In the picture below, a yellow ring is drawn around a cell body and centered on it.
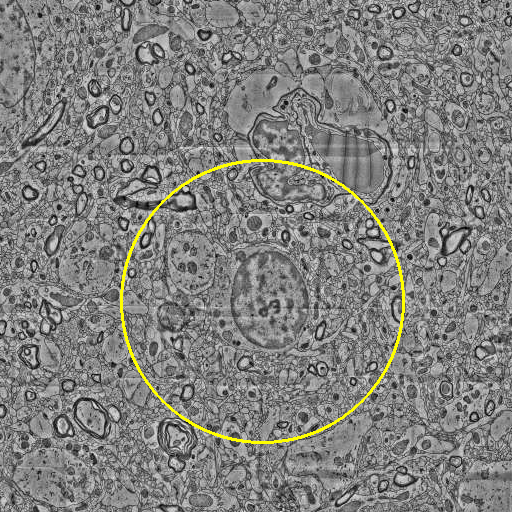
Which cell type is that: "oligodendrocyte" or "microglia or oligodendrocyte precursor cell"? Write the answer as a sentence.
The cell centered in the ring is an oligodendrocyte.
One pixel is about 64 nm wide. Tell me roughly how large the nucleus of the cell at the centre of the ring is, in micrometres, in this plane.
The nucleus appears roughly 6 by 5 micrometres in this plane.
